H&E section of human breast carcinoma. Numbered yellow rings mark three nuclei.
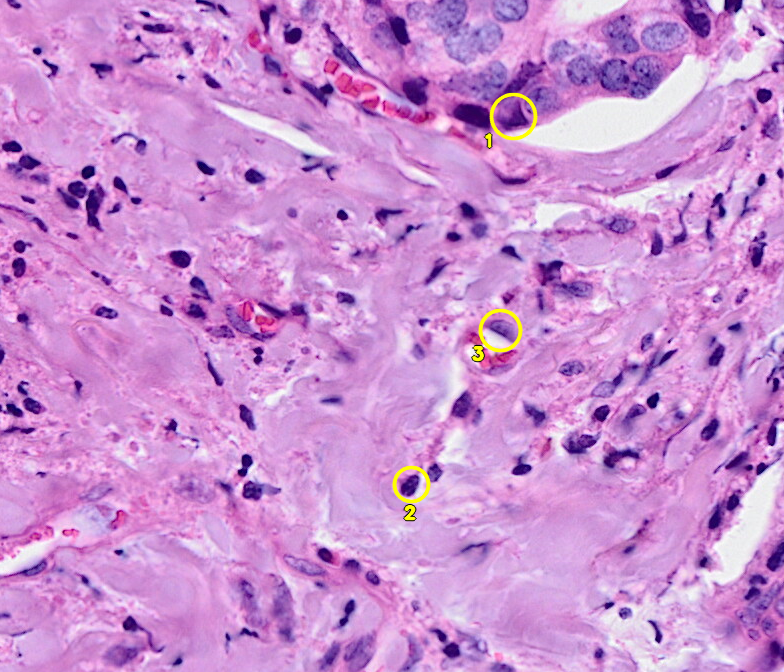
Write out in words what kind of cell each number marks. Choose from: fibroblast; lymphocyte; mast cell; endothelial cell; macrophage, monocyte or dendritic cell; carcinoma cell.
Cell 1 is a carcinoma cell. Cell 2 is a lymphocyte. Cell 3 is an endothelial cell.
